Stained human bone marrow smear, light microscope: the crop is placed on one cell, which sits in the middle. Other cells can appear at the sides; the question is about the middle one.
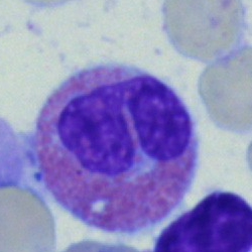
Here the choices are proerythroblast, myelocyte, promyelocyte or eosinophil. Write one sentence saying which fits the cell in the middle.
The cell positioned in the middle of the field is an eosinophil.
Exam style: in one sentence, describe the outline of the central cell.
There are no projections here; the outline is simply smooth.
